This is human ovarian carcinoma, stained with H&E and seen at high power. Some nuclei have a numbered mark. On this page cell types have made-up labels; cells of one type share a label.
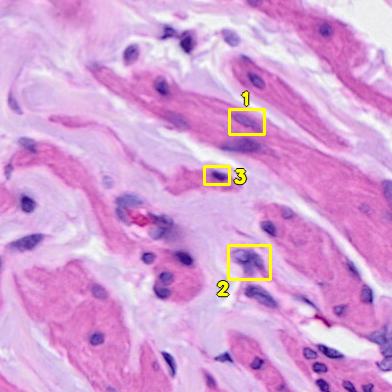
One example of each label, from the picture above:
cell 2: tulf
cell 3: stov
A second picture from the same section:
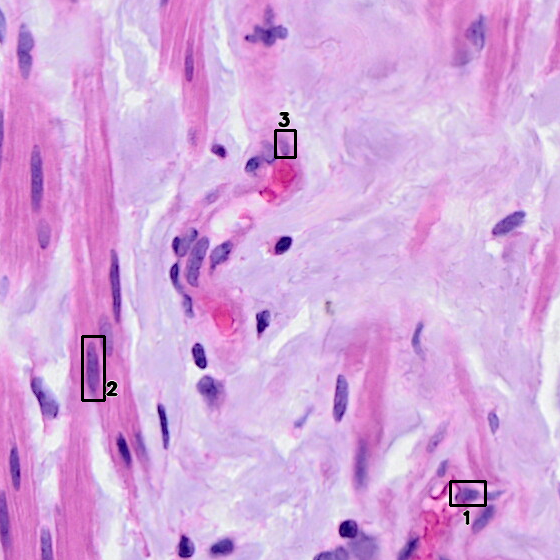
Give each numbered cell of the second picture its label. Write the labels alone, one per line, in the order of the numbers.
tulf
stov
tulf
